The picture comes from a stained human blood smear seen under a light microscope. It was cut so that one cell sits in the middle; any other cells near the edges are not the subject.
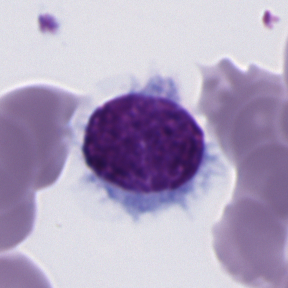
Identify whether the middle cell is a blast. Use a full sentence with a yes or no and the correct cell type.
No, it is a hairy cell that sits in the middle, not a blast.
